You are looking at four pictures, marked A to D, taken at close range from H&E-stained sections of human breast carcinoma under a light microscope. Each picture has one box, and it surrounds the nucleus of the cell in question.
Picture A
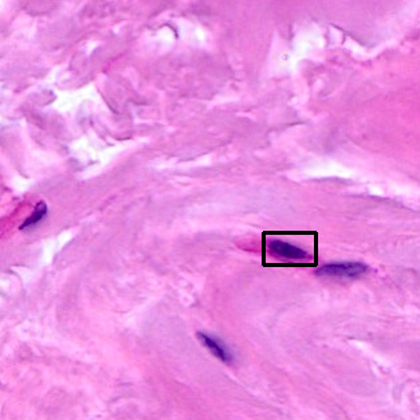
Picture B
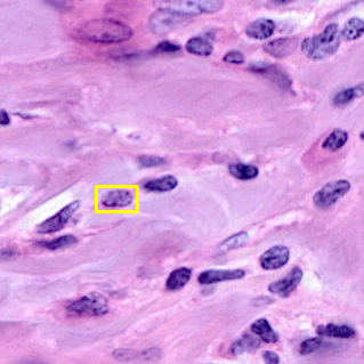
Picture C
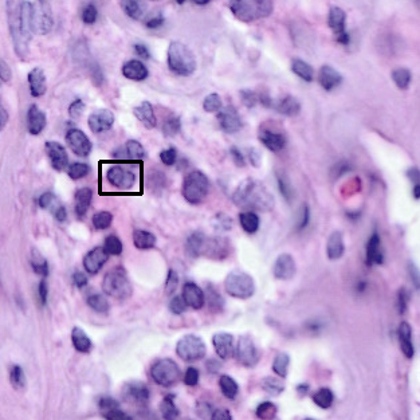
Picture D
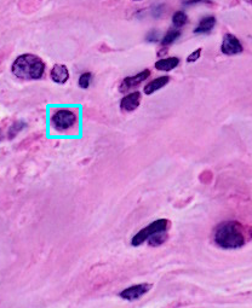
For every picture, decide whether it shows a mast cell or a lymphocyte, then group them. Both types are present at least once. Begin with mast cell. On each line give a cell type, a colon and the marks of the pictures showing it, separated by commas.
mast cell: A, B, D
lymphocyte: C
